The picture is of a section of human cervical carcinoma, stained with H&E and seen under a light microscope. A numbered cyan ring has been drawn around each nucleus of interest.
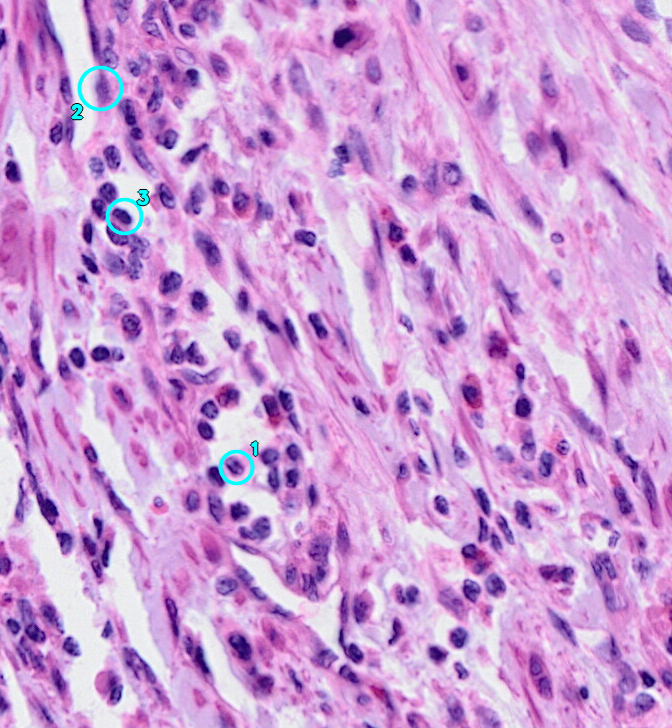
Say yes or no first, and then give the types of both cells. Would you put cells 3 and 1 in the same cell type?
Yes, both of the cells numbered 3 and 1 are lymphocytes.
